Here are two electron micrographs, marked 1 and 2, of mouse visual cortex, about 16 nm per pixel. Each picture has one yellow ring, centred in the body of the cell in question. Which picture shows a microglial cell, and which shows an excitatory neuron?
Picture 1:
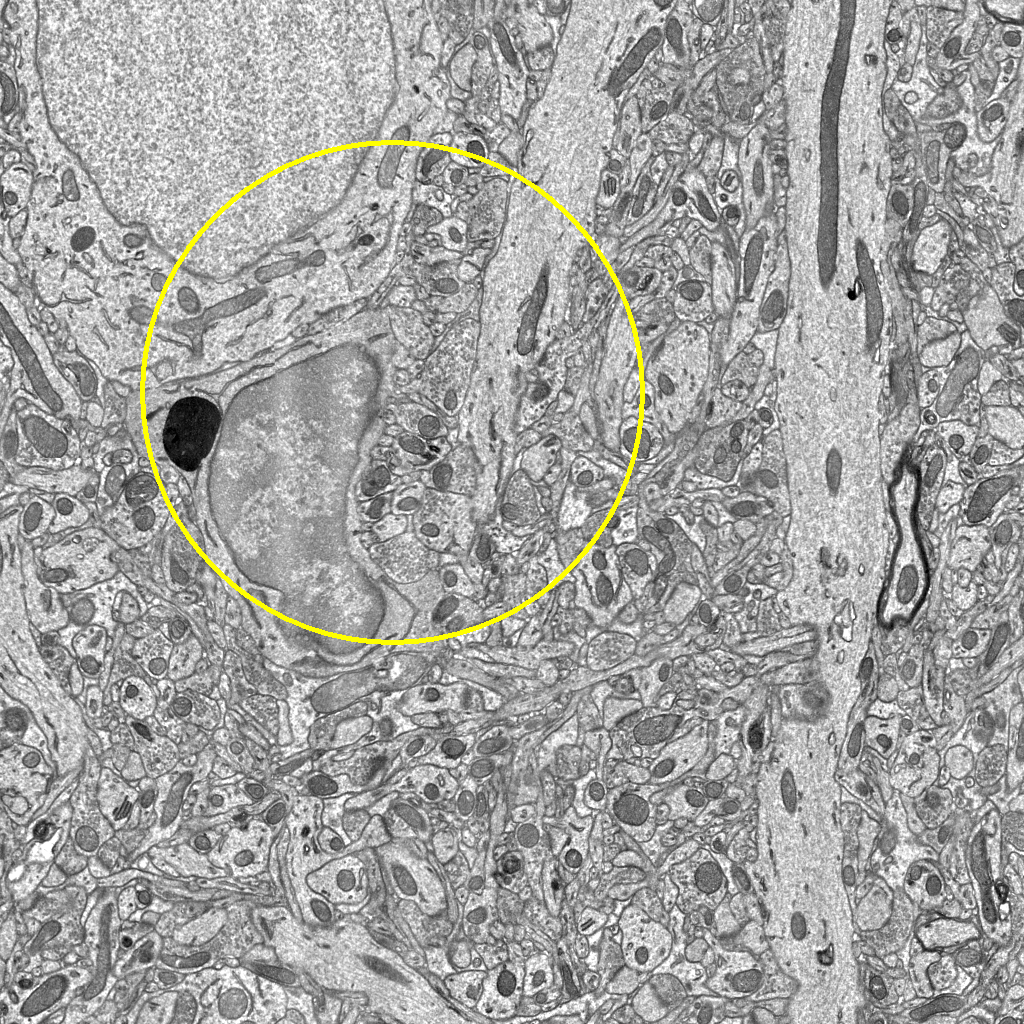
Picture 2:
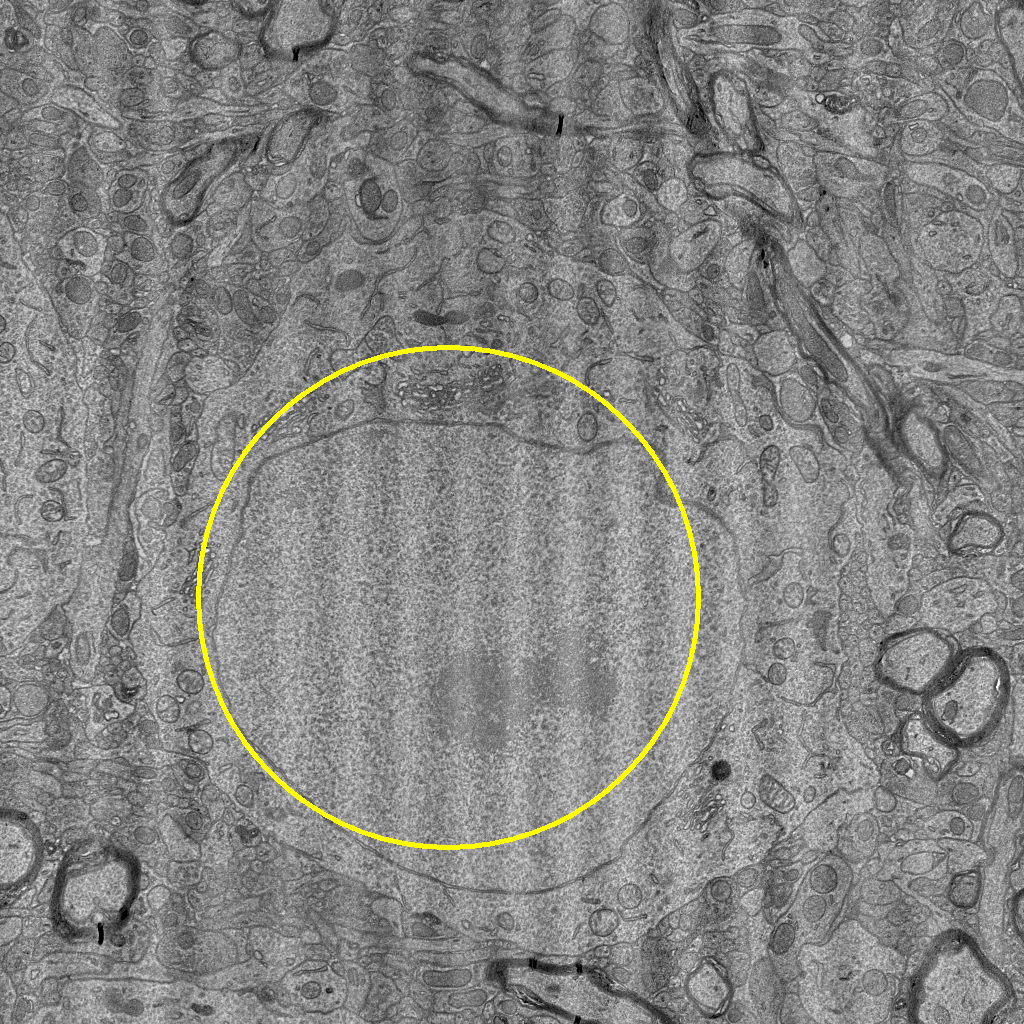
It is picture 1 that shows a microglial cell, and picture 2 that shows an excitatory neuron.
